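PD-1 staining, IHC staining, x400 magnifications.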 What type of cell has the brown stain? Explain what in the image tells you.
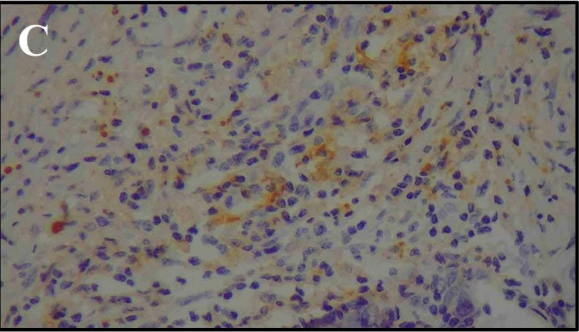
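Scattered brown-stained cells lie among spindle-shaped stromal cells. The stained cells are small with dark nuclei.
Conclusion: inflammatory cells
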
